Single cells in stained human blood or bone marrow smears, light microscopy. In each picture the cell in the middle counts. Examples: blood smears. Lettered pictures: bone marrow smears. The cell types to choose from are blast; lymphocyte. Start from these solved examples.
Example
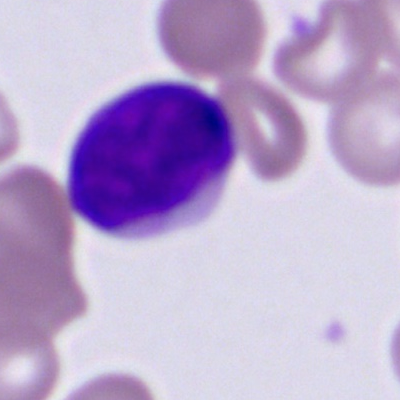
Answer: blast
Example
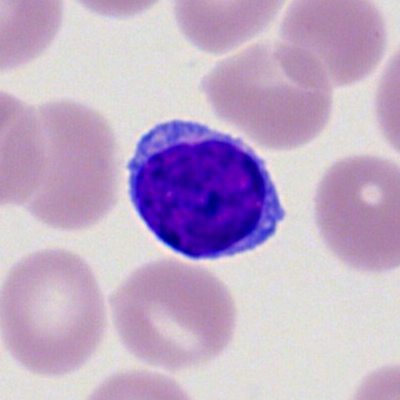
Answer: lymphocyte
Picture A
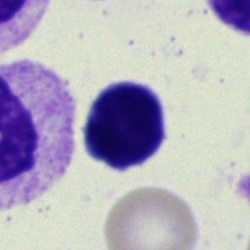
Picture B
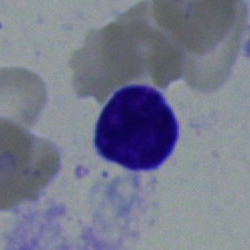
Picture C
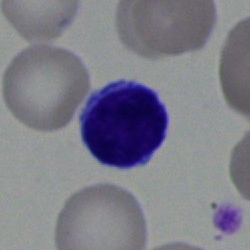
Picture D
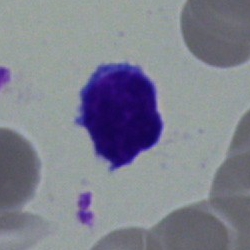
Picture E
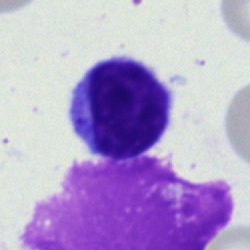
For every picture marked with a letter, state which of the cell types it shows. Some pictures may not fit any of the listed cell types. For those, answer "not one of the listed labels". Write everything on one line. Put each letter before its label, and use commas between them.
A lymphocyte, B lymphocyte, C lymphocyte, D lymphocyte, E lymphocyte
